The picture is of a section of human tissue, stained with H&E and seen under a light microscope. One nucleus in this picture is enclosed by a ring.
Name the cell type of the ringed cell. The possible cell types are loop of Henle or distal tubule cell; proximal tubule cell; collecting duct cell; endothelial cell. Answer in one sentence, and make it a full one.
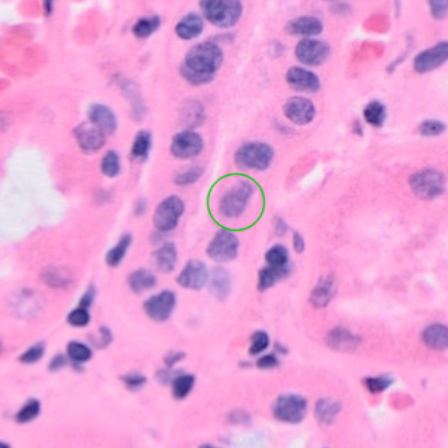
In this tissue section, the ringed cell is to be classed as a collecting duct cell.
